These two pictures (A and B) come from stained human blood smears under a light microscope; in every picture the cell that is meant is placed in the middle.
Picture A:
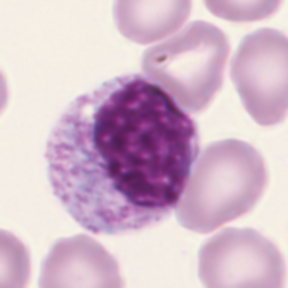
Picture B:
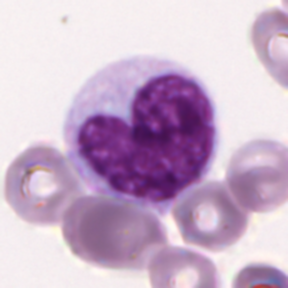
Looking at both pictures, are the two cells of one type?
yes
